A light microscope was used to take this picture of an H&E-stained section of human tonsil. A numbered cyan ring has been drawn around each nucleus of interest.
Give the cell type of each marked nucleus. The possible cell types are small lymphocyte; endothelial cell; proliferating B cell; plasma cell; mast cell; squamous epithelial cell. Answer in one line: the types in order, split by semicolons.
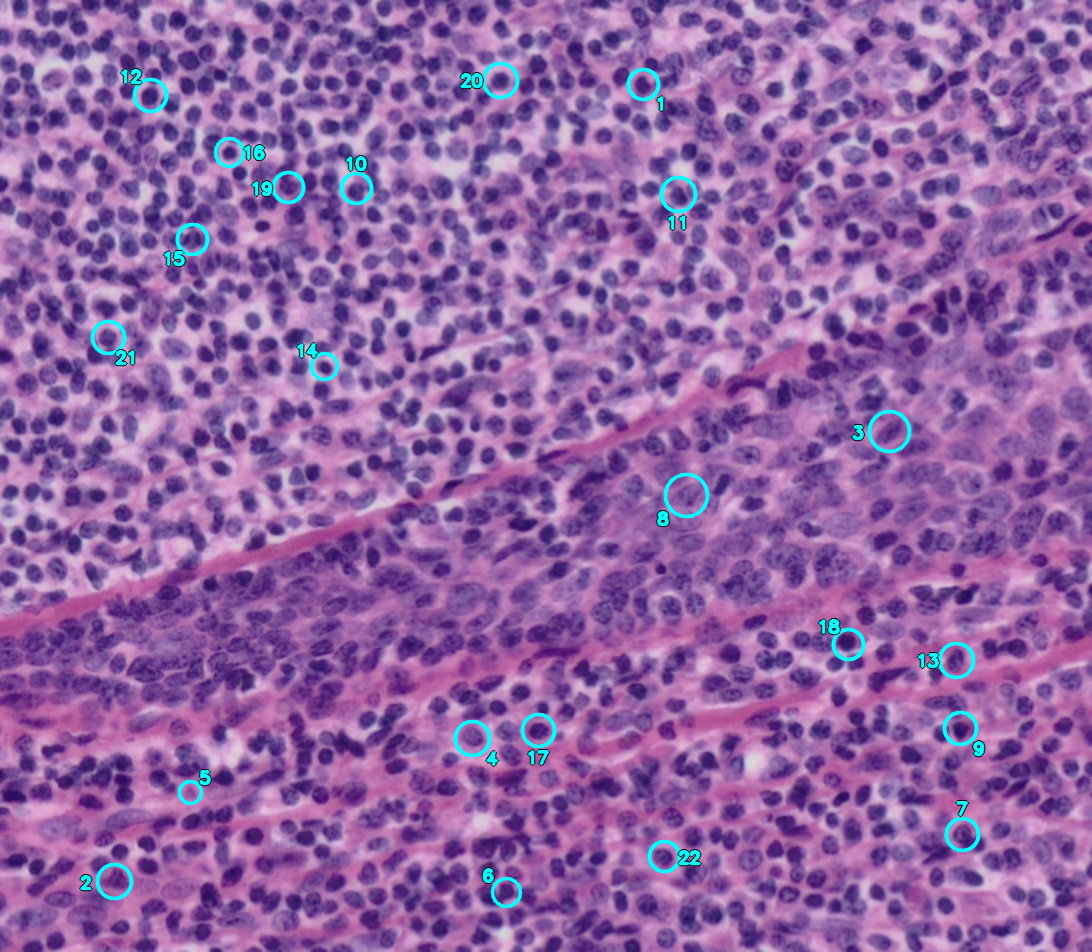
small lymphocyte; endothelial cell; squamous epithelial cell; plasma cell; endothelial cell; small lymphocyte; plasma cell; squamous epithelial cell; plasma cell; small lymphocyte; small lymphocyte; small lymphocyte; plasma cell; small lymphocyte; small lymphocyte; small lymphocyte; plasma cell; plasma cell; small lymphocyte; small lymphocyte; small lymphocyte; plasma cell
